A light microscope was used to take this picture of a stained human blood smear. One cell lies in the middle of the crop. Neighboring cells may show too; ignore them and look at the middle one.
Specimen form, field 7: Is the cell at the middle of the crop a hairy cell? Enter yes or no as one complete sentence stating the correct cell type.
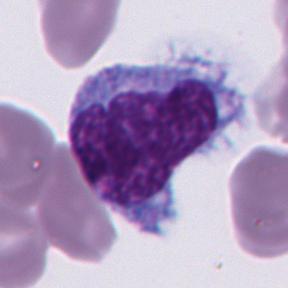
No, the central cell is not a hairy cell, being instead a monocyte.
